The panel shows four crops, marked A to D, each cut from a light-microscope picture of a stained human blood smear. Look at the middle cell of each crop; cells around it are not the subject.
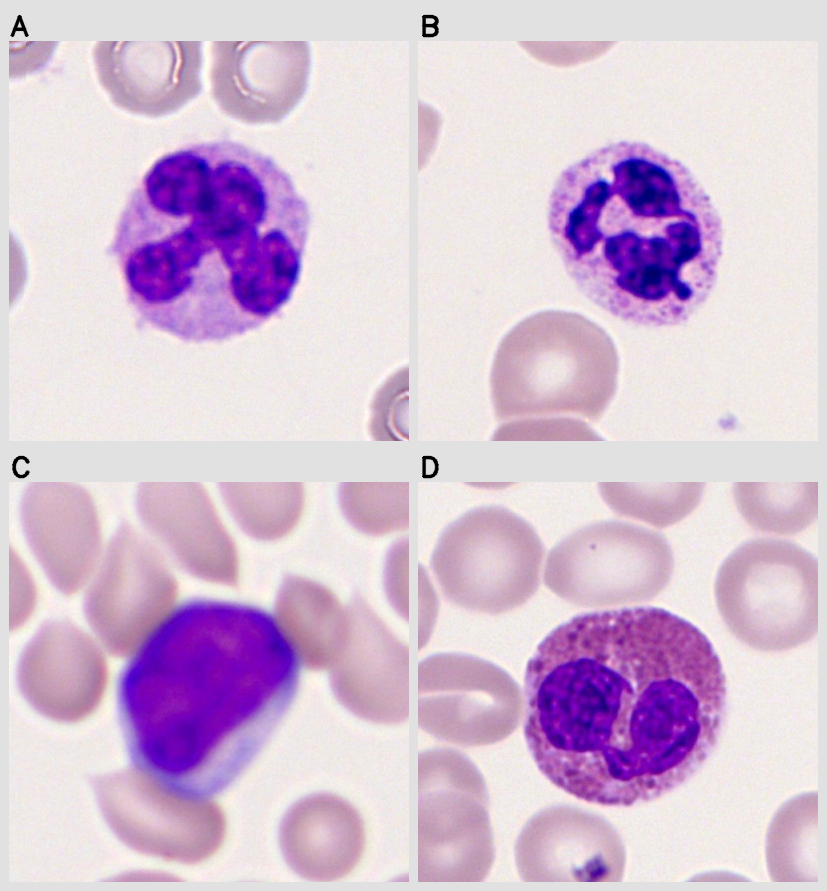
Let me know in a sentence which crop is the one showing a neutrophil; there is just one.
Crop B is the crop containing a neutrophil.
